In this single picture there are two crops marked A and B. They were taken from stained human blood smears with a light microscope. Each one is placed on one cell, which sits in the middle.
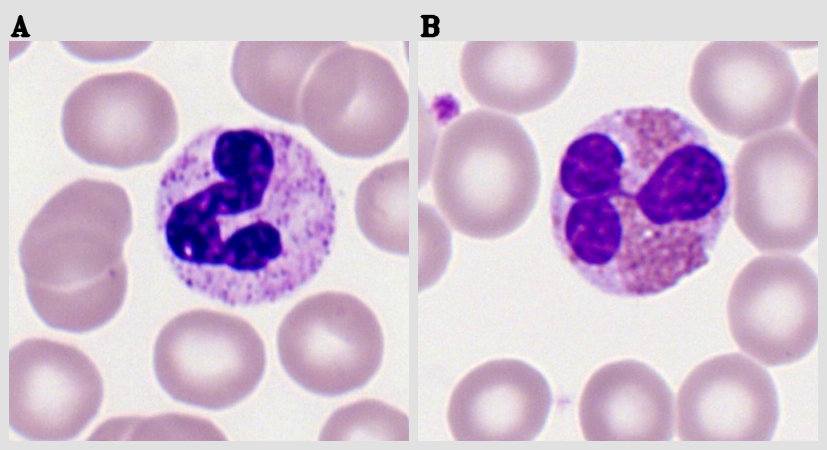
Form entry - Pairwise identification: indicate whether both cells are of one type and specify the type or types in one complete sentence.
No, within crop A lies a segmented neutrophil, and within crop B lies an eosinophil.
